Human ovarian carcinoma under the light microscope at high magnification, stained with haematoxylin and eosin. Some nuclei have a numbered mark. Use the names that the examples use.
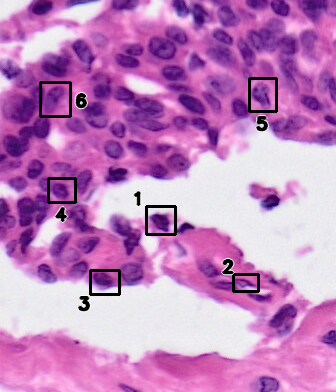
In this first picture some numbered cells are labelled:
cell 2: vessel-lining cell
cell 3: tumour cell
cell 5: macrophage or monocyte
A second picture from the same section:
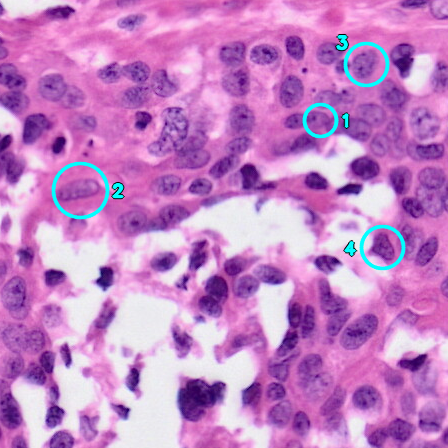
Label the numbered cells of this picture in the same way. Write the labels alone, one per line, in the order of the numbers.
tumour cell
vessel-lining cell
tumour cell
tumour cell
